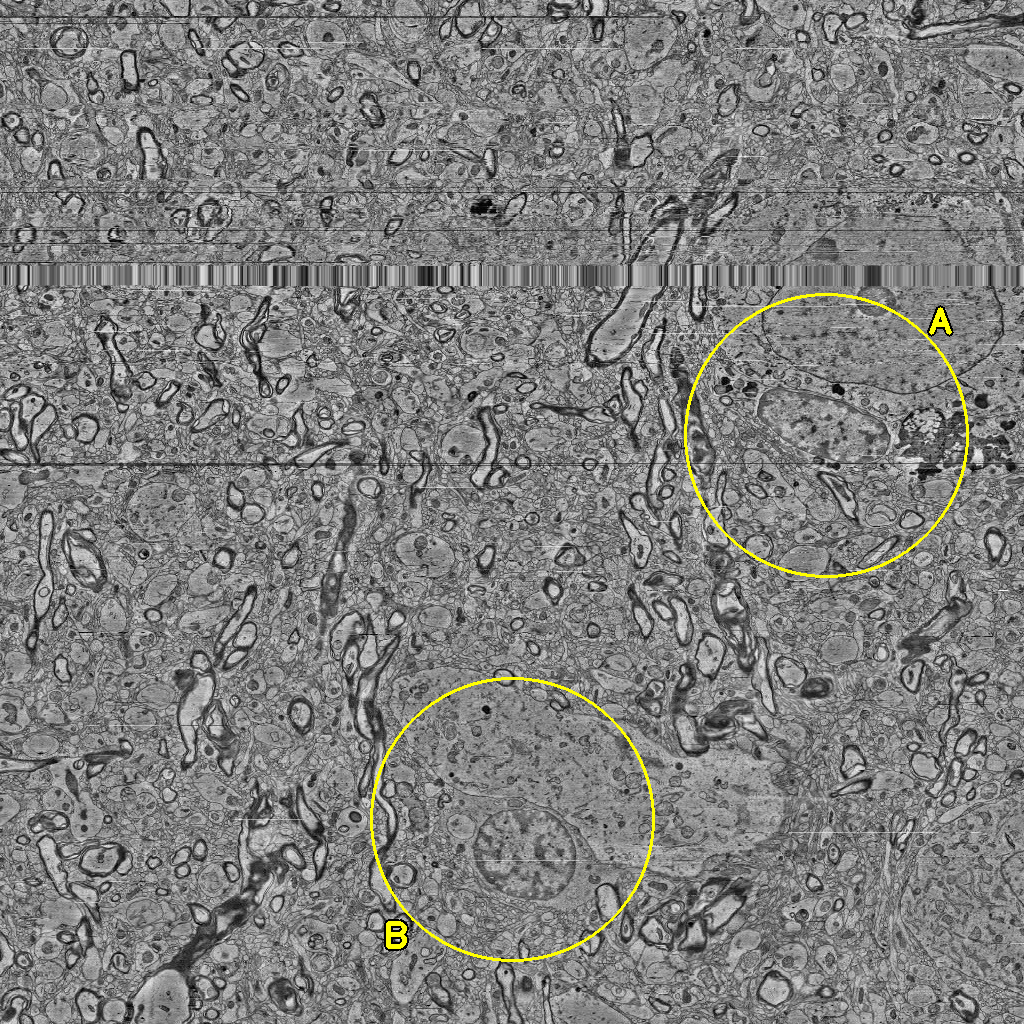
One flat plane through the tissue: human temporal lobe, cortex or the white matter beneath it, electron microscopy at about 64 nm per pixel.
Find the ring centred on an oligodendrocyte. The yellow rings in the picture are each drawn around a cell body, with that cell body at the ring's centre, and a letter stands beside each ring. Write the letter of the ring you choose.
B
